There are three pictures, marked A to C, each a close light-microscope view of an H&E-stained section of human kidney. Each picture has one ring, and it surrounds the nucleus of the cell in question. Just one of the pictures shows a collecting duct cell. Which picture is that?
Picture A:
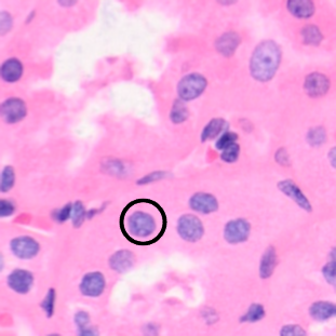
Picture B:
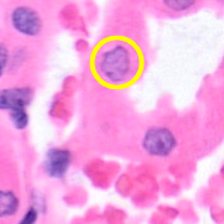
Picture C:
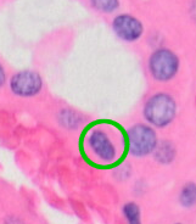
C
